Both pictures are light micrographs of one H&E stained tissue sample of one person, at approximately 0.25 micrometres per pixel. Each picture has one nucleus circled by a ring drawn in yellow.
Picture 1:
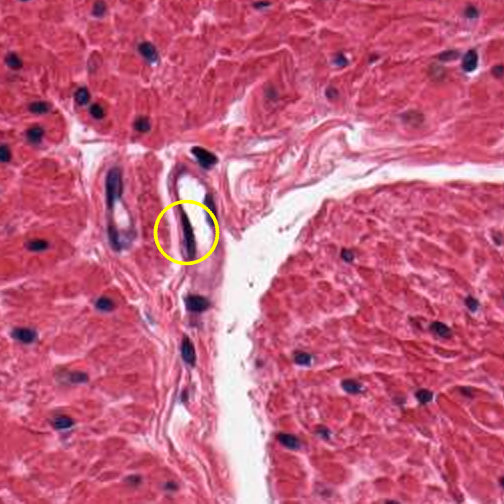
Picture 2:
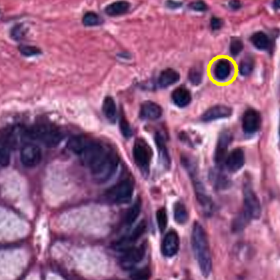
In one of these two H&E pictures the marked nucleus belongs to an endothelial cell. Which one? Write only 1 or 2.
1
